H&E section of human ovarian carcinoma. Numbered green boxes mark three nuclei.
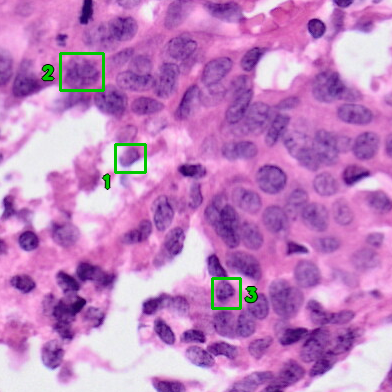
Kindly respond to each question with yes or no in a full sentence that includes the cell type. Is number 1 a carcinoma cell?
Yes, number 1 corresponds to a carcinoma cell.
